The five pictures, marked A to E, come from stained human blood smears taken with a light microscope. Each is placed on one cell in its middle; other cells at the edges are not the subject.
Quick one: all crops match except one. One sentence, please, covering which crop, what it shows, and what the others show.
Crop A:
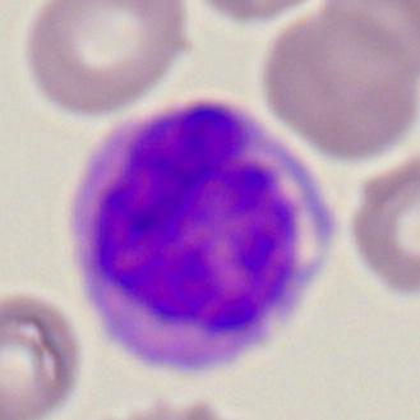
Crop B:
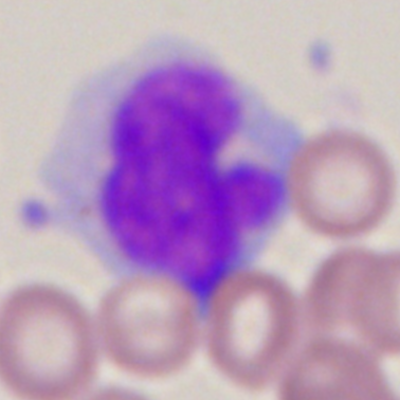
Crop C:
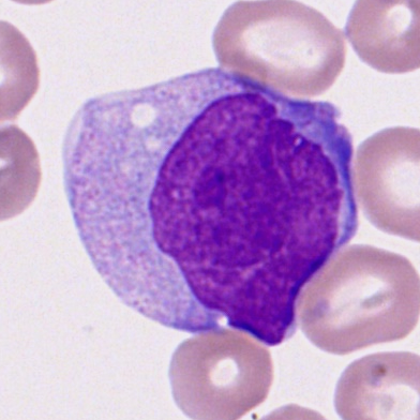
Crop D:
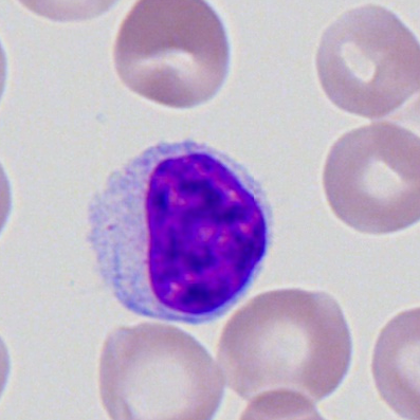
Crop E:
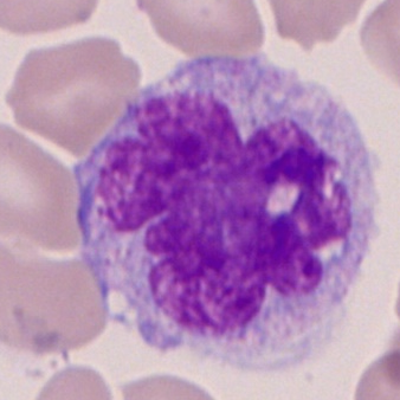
Crop D is the sole crop with a lymphocyte; the others all have monocytes.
